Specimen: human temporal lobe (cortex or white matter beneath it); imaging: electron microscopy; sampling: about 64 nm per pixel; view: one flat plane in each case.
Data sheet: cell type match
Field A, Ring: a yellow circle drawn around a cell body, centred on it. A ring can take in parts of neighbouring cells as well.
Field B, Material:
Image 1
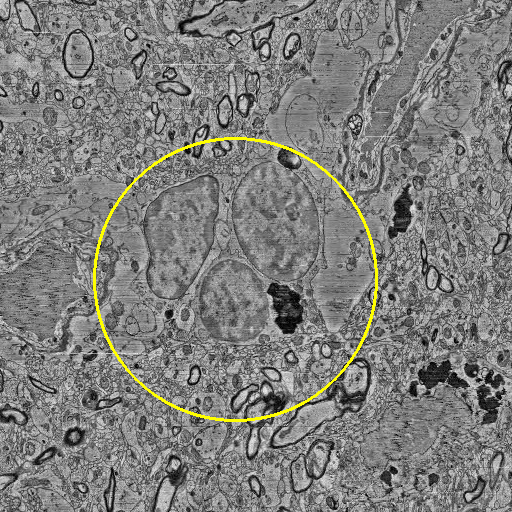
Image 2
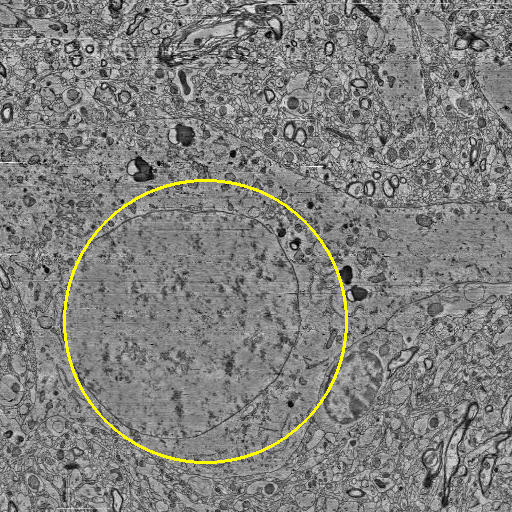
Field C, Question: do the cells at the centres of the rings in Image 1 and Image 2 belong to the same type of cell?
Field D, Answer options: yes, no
no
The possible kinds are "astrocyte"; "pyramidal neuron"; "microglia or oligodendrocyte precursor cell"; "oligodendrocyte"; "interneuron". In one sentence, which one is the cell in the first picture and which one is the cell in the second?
The cell ringed in the second picture is a pyramidal neuron, whereas the one ringed in the first is an oligodendrocyte.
